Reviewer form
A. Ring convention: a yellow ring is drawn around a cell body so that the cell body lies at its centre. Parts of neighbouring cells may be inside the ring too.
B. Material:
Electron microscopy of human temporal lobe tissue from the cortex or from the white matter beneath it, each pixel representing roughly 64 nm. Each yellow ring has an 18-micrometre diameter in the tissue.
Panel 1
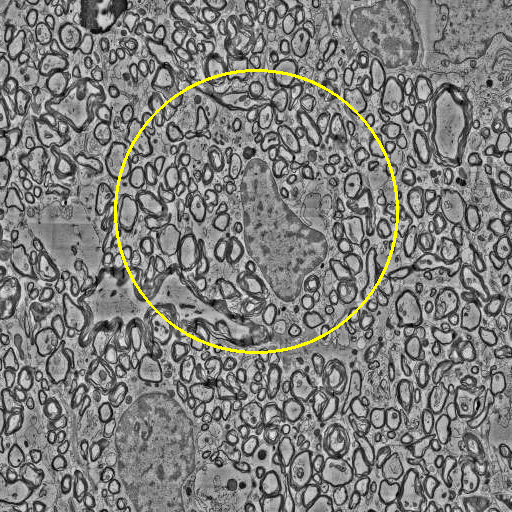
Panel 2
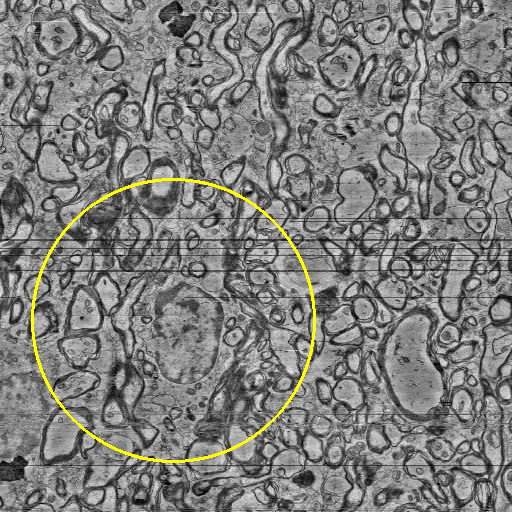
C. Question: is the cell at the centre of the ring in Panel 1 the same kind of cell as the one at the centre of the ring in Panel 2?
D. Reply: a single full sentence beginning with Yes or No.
Yes, the cells in Panel 1 and Panel 2 are the same kind of cell.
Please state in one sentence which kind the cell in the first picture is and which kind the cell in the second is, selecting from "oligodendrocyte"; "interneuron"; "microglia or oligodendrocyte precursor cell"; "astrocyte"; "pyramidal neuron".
Each of the two pictures has a microglial cell or oligodendrocyte precursor cell at the ring centre.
